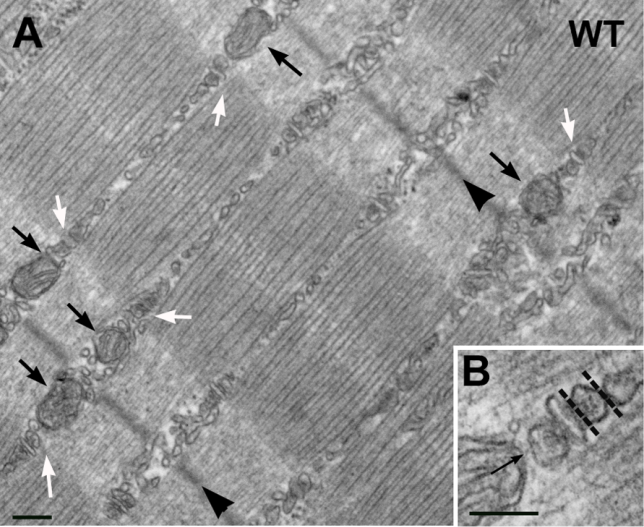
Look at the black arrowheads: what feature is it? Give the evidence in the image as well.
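Thin dark transverse lines cross the myofilament bundles. Organelles line up on either side of these lines.
Answer: Z-lines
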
